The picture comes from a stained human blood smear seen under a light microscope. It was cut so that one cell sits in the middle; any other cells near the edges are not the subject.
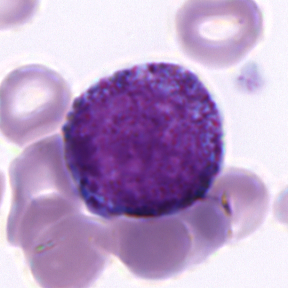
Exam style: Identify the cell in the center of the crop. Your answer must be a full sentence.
The target cell in the middle of the crop is a promyelocyte.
